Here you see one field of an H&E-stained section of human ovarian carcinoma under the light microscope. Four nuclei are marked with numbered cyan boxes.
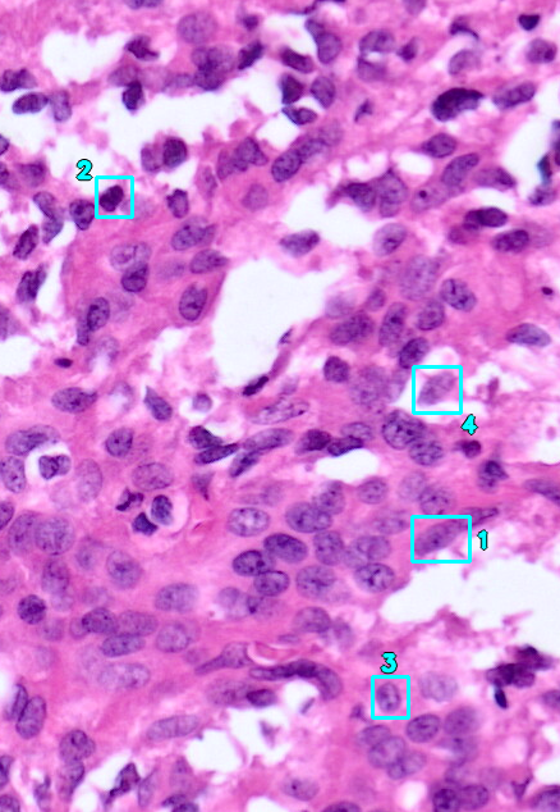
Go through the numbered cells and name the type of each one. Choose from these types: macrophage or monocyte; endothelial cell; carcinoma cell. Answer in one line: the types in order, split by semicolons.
carcinoma cell; carcinoma cell; macrophage or monocyte; carcinoma cell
